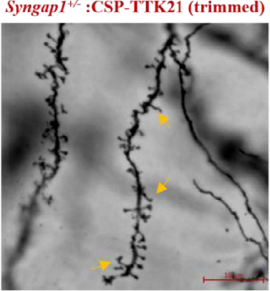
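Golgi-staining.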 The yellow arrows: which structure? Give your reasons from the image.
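Filopodia spine. A dark-stained dendrite densely studded with protrusions. The arrows point at thin protrusions along the dendrite.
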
